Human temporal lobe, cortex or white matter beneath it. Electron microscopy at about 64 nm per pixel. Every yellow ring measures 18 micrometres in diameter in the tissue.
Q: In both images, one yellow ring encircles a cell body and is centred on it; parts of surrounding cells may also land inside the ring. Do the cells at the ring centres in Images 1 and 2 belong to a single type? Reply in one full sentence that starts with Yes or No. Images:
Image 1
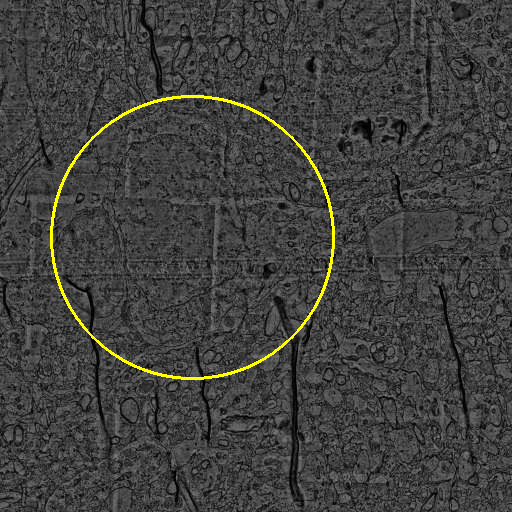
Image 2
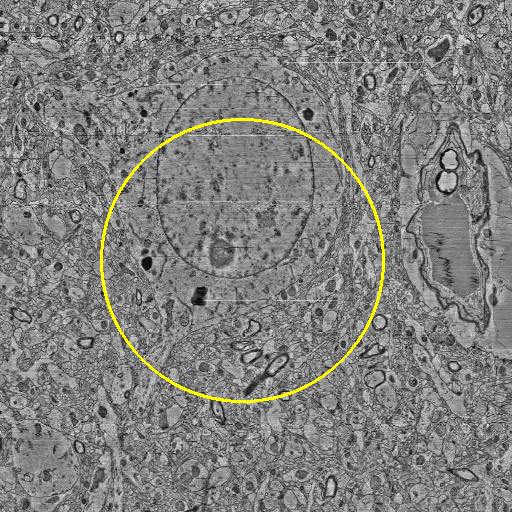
Yes, the cells at the ring centres in Images 1 and 2 are of a single type.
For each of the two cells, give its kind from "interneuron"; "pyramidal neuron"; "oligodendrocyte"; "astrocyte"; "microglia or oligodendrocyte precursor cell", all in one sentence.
Each of the two rings surrounds a pyramidal neuron.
